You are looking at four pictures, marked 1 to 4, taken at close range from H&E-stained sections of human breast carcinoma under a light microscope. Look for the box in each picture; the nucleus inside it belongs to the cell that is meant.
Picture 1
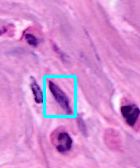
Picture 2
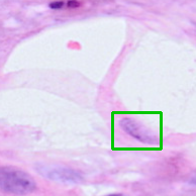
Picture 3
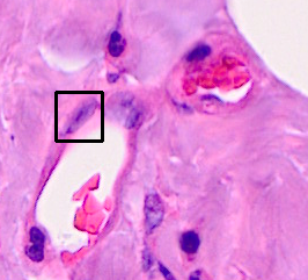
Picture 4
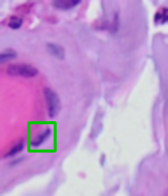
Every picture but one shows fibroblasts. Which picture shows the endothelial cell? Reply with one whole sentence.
The picture with the endothelial cell is 3.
